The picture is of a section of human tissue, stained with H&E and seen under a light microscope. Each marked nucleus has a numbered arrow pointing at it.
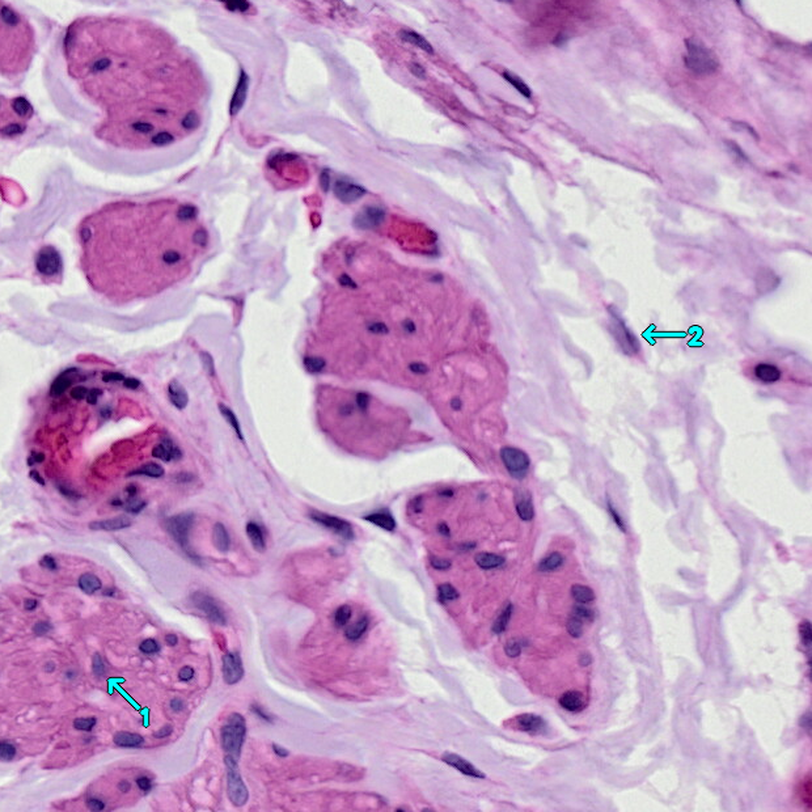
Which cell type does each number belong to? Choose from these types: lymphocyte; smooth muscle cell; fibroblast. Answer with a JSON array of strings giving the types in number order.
["smooth muscle cell", "fibroblast"]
